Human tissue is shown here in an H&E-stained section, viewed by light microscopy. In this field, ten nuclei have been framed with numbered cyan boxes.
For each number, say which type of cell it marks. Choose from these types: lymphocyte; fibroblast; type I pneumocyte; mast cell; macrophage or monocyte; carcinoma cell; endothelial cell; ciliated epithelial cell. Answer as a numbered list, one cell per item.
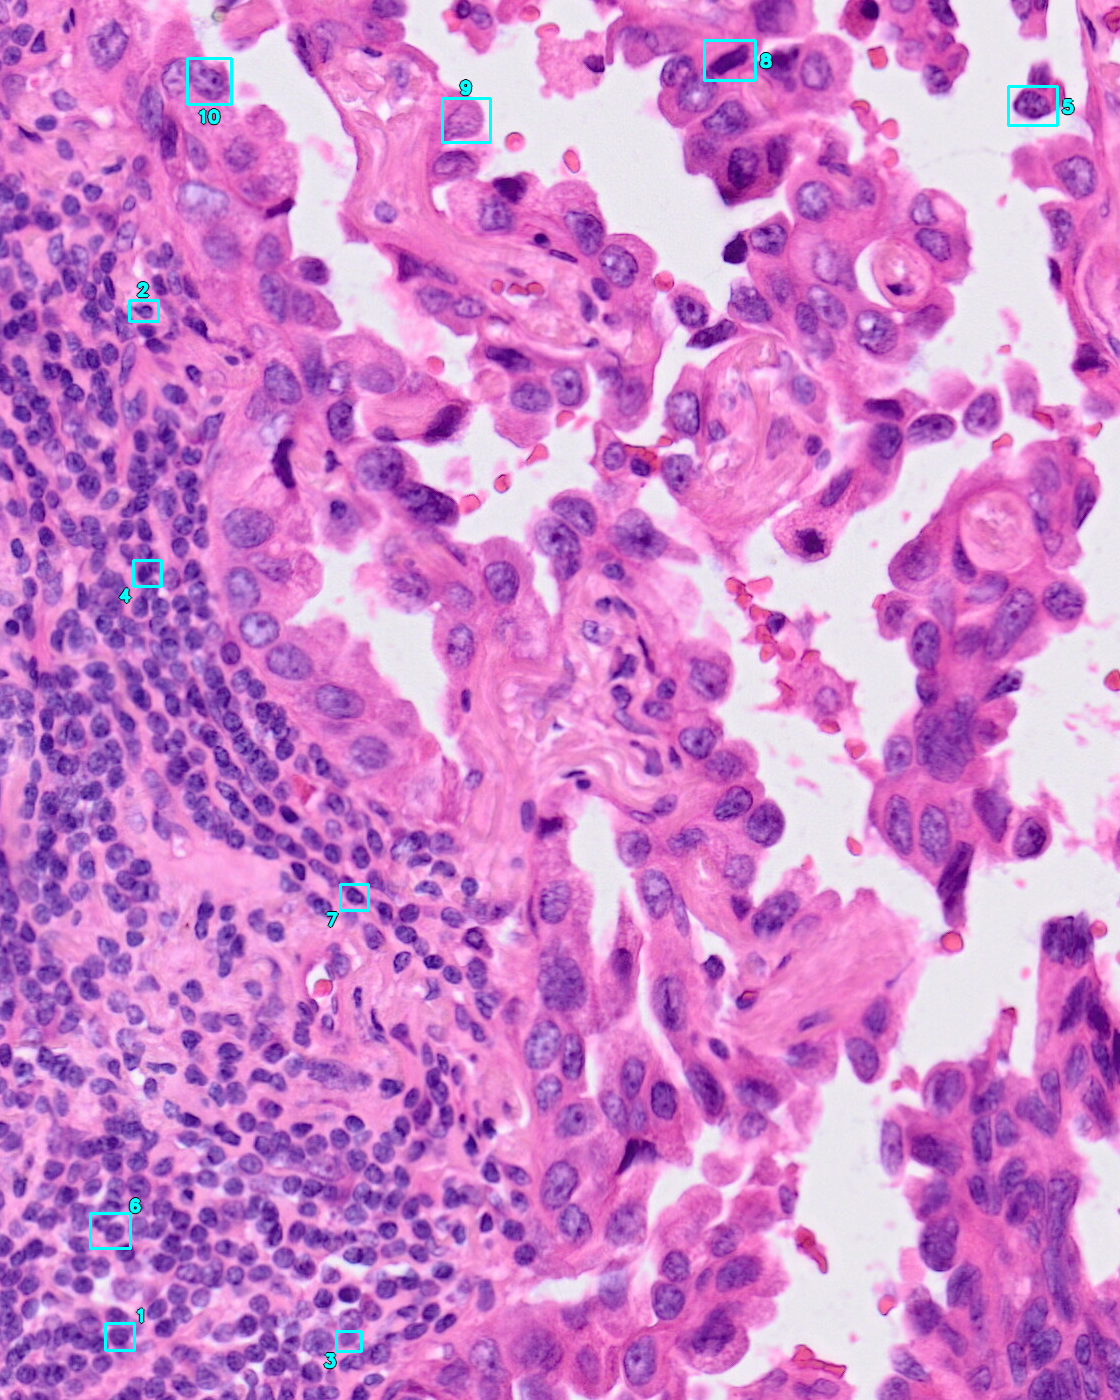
1. lymphocyte
2. lymphocyte
3. lymphocyte
4. lymphocyte
5. carcinoma cell
6. lymphocyte
7. lymphocyte
8. carcinoma cell
9. carcinoma cell
10. carcinoma cell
